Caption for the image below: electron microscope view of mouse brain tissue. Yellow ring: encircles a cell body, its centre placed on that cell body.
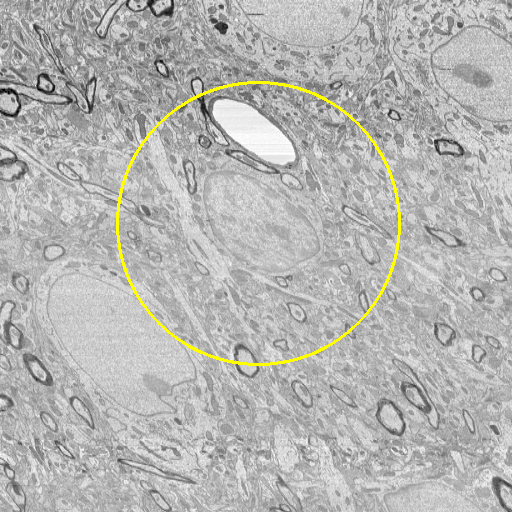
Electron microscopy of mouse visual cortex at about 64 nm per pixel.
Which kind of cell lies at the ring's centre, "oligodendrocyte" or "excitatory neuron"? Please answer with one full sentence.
The picture shows an oligodendrocyte at the centre of the yellow ring.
